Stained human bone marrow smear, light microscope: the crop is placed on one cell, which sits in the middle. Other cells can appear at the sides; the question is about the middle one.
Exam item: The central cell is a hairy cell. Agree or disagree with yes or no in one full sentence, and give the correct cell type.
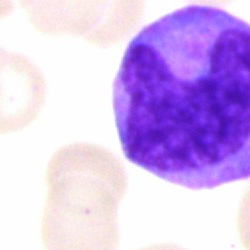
No, the central cell in this crop is a monocyte and not a hairy cell.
